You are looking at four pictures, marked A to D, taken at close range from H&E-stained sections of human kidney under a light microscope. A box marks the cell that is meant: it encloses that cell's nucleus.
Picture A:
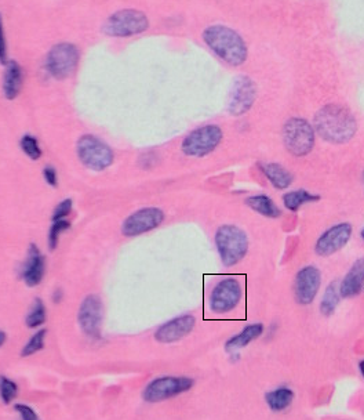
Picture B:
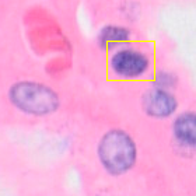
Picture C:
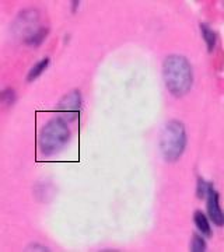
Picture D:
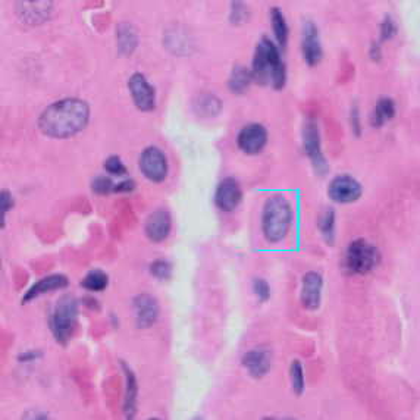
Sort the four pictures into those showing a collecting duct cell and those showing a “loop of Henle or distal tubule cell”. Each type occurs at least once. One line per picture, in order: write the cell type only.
loop of Henle or distal tubule cell
collecting duct cell
loop of Henle or distal tubule cell
loop of Henle or distal tubule cell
